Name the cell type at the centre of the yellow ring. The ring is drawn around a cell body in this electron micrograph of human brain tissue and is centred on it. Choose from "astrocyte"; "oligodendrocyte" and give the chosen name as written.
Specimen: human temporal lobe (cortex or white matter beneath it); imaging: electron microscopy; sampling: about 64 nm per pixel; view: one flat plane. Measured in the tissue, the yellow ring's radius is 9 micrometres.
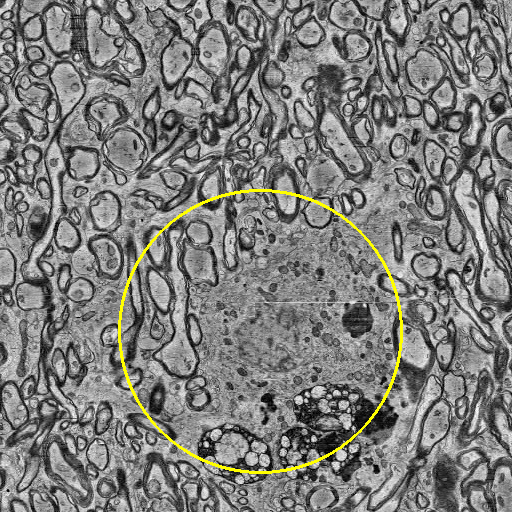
astrocyte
